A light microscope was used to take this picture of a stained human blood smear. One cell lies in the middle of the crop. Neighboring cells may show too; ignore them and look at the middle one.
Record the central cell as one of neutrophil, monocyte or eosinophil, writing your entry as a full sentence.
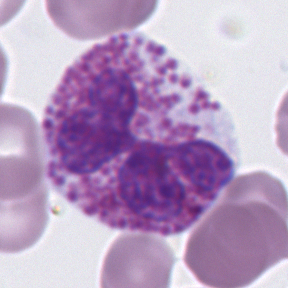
The cell of interest, in the center, is an eosinophil.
